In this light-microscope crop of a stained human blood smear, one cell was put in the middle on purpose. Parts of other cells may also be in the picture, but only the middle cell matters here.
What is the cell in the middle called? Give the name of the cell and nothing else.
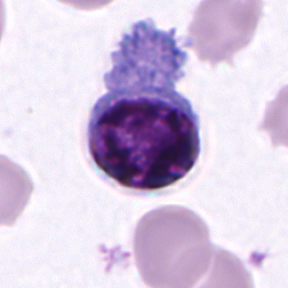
plasma cell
